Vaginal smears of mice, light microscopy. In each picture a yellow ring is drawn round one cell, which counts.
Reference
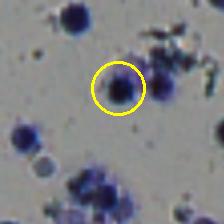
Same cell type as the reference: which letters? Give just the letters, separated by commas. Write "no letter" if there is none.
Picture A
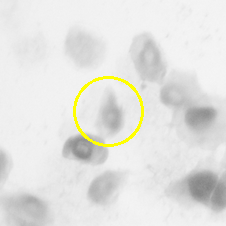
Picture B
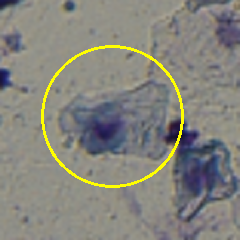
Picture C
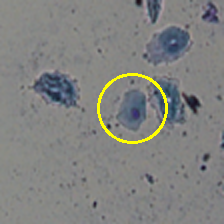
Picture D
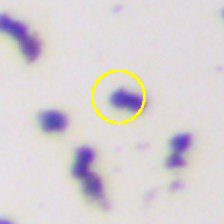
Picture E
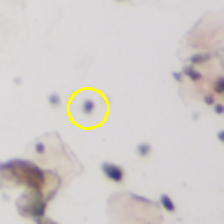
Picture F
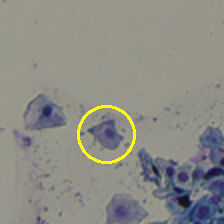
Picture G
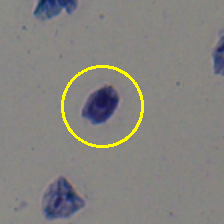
D, E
